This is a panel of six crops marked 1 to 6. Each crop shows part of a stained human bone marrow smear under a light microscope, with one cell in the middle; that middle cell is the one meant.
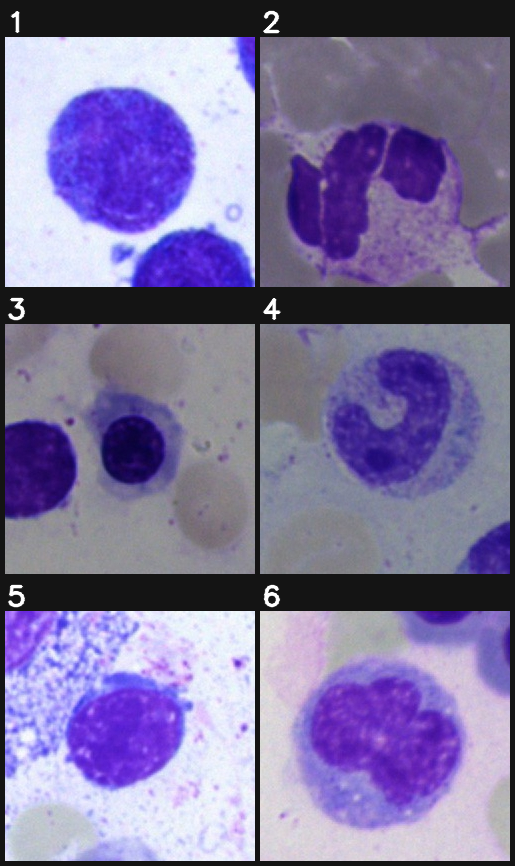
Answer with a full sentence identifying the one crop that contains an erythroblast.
Among the crops given, only crop 3 shows an erythroblast.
